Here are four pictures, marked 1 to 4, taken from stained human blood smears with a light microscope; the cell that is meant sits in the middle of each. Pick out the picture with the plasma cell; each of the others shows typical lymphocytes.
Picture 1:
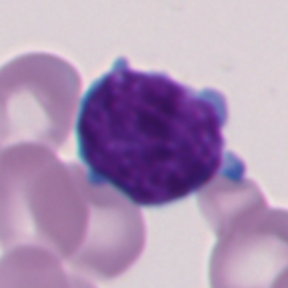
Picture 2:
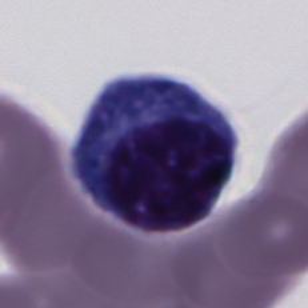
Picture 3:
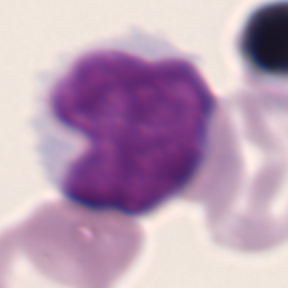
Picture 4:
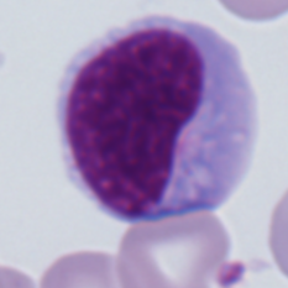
2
